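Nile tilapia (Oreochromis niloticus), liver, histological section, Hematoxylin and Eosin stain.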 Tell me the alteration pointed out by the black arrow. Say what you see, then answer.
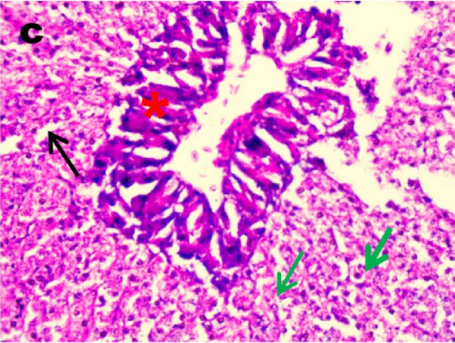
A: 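The tissue the arrow points into is pale and frothy with many small clear spaces. Cell borders of the liver cells are not clearly kept there. So: Cytoplasmic vacuolization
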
